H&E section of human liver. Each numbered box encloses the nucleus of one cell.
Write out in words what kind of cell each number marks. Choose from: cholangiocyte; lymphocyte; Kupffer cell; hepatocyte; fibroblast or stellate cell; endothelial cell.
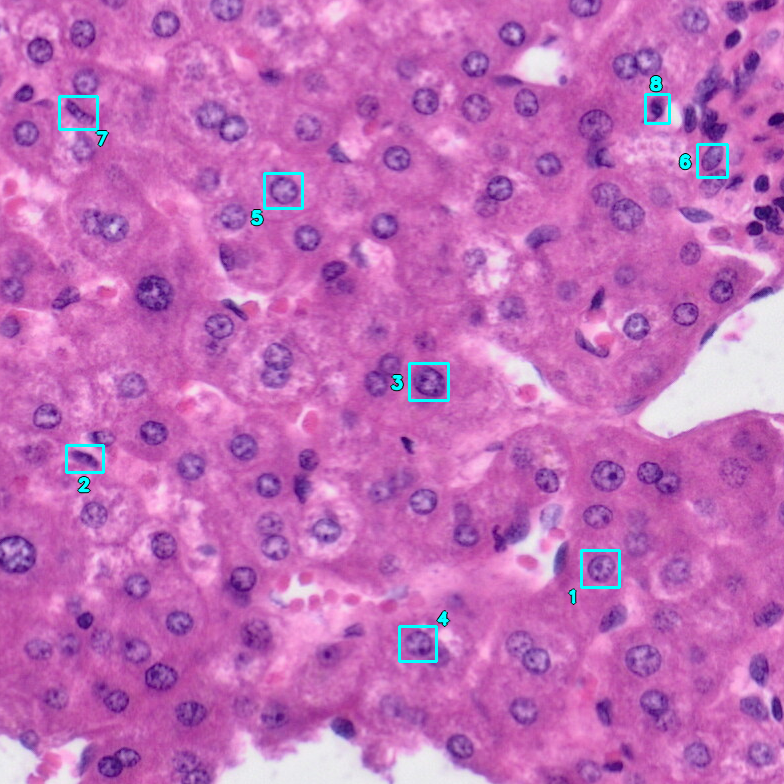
Cell 1 is a hepatocyte, cell 2 is an endothelial cell, cell 3 is a hepatocyte, cell 4 is a hepatocyte, cell 5 is a hepatocyte, cell 6 is a cholangiocyte, cell 7 is a fibroblast or stellate cell and cell 8 is a fibroblast or stellate cell.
